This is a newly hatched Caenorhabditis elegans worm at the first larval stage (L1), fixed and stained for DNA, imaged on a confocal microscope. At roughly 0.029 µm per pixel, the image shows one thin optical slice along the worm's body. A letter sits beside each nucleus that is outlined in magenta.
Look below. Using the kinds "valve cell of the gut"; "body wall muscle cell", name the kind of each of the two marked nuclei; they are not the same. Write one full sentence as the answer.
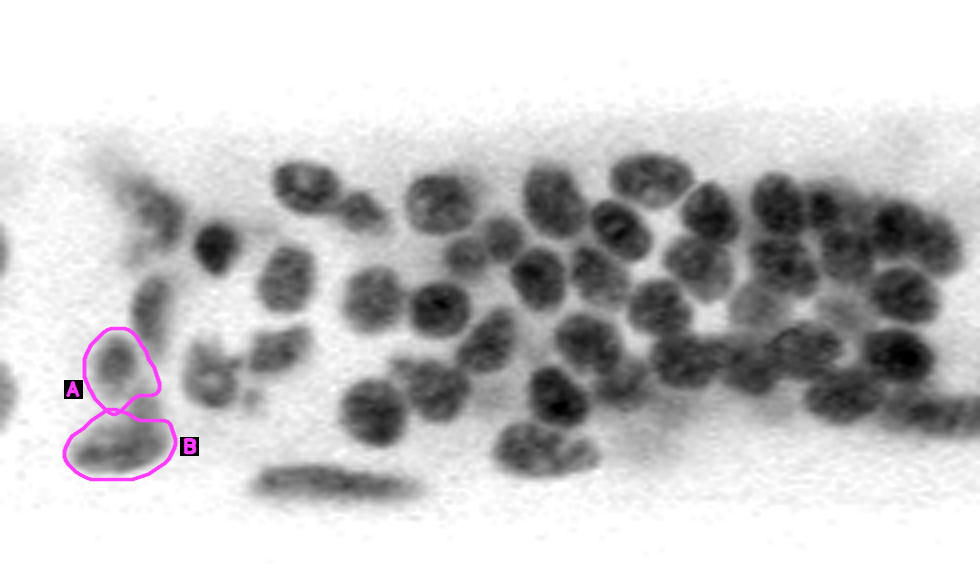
One is from a valve cell of the gut, namely A, and the other, B, is from a body wall muscle cell.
